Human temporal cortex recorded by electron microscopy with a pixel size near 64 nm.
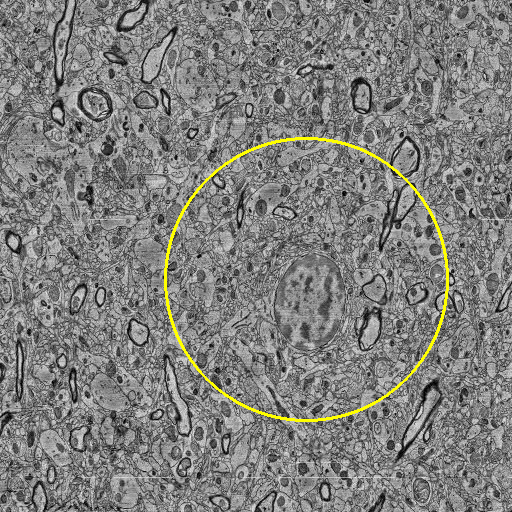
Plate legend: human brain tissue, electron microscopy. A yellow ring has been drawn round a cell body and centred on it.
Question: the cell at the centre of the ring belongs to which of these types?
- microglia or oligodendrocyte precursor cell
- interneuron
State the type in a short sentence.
The cell in the middle of the ring is a microglial cell or oligodendrocyte precursor cell.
